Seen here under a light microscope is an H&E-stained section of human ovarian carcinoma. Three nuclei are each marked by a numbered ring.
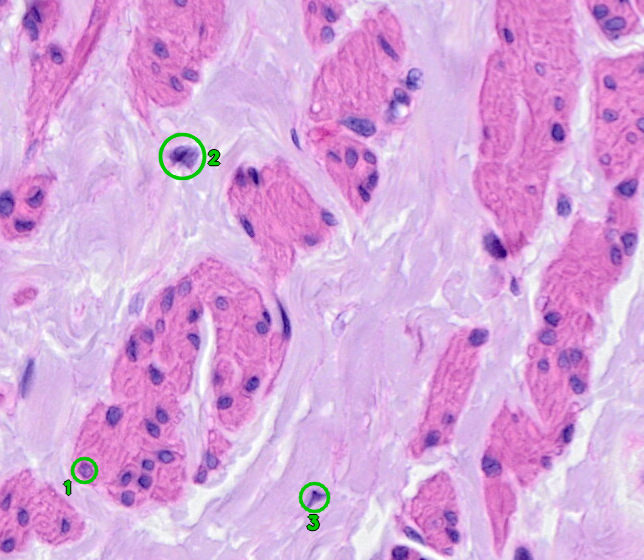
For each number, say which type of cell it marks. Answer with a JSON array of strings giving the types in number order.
["smooth muscle cell", "fibroblast", "fibroblast"]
